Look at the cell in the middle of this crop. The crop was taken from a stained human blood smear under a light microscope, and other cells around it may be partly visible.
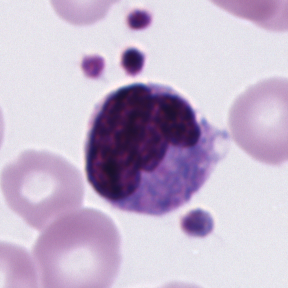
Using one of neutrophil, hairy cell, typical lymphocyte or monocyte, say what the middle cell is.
monocyte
